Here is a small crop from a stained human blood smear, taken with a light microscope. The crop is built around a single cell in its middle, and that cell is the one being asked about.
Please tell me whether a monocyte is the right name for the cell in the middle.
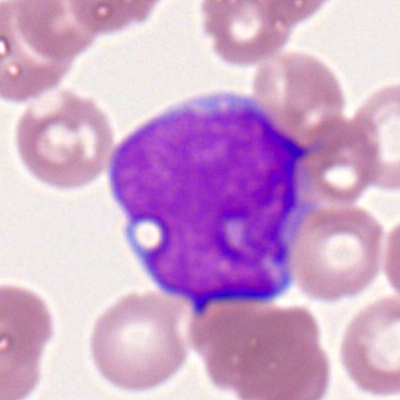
no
